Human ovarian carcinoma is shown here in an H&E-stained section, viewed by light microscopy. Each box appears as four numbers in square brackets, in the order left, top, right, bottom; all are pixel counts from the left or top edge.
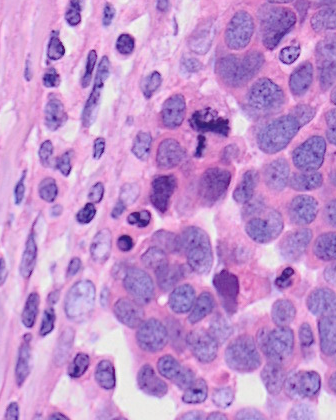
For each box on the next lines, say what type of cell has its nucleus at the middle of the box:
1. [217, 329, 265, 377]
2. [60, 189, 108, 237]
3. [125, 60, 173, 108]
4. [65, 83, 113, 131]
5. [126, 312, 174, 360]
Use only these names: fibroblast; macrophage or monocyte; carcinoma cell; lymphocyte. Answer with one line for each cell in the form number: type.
1: carcinoma cell
2: lymphocyte
3: macrophage or monocyte
4: fibroblast
5: carcinoma cell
